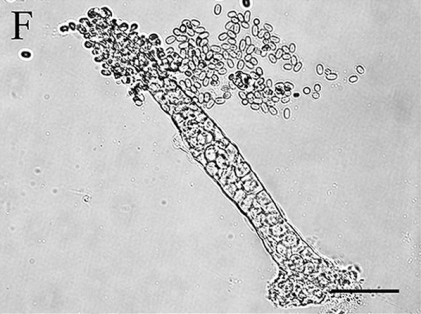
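This is the stalk of a small fruiting body of a cellular slime mould, seen as a long straight tube running diagonally across the field. The tube is filled with closely packed polygonal stalk cells arranged in a column, giving it a honeycomb-like texture. Toward the lower end the stalk broadens into a wider base with crowded cells. At the upper end many small oval spores spill out loosely beside the tip.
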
